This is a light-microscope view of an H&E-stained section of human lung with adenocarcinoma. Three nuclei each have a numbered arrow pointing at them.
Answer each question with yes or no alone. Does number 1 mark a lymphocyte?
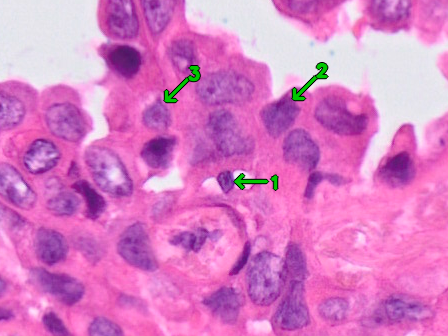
yes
